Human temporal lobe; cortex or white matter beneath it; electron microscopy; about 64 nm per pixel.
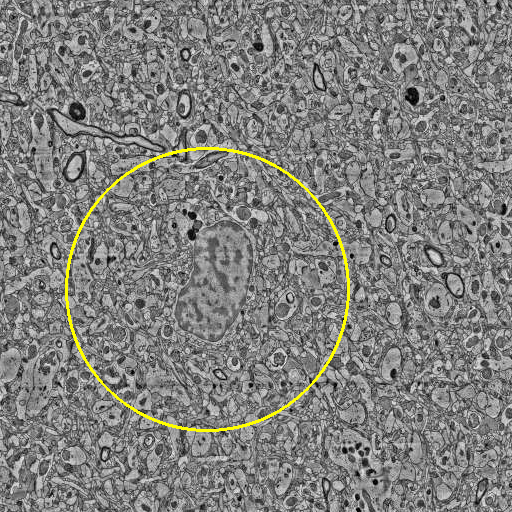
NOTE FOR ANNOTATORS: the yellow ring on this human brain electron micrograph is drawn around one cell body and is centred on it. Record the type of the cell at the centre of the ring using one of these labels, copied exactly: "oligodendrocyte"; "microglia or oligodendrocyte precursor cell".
microglia or oligodendrocyte precursor cell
